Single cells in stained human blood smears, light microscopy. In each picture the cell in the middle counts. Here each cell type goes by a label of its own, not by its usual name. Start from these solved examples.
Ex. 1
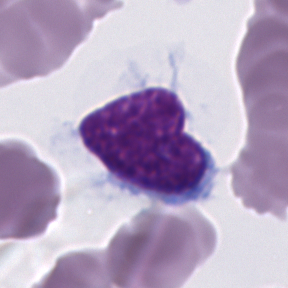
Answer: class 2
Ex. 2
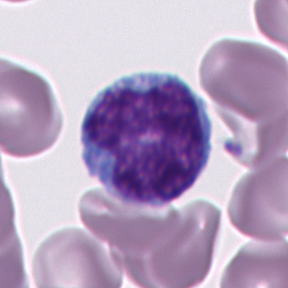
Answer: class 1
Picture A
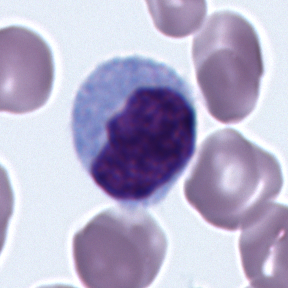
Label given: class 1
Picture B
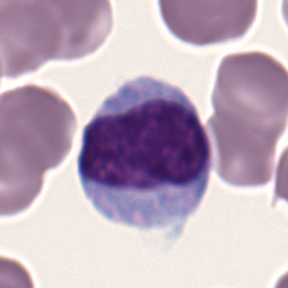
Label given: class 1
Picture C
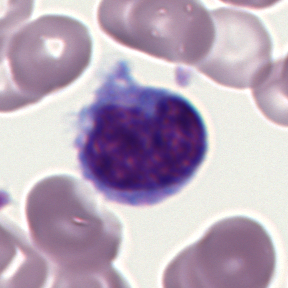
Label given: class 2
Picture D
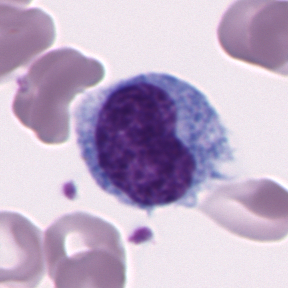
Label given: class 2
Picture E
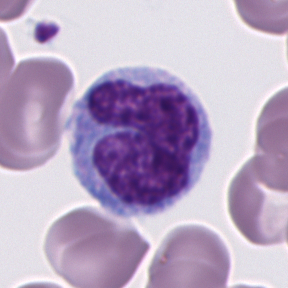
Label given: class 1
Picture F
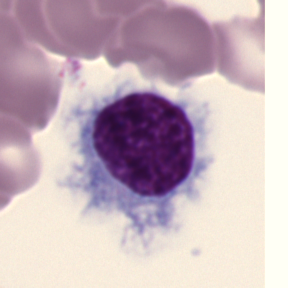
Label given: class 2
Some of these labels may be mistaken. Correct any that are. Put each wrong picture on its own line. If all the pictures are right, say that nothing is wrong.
C should be class 1, not class 2
D should be class 1, not class 2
